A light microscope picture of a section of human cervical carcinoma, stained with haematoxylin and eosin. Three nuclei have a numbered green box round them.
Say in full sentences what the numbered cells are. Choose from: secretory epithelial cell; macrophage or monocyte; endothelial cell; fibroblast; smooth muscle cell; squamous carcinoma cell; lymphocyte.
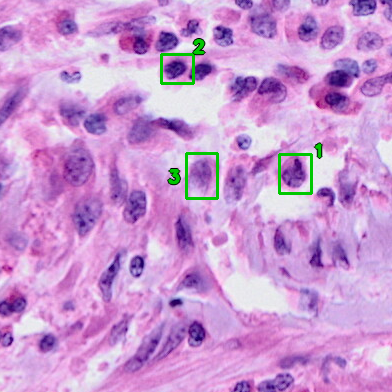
Cell 1 is a macrophage or monocyte. Cell 2 is a lymphocyte. Cell 3 is a fibroblast.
